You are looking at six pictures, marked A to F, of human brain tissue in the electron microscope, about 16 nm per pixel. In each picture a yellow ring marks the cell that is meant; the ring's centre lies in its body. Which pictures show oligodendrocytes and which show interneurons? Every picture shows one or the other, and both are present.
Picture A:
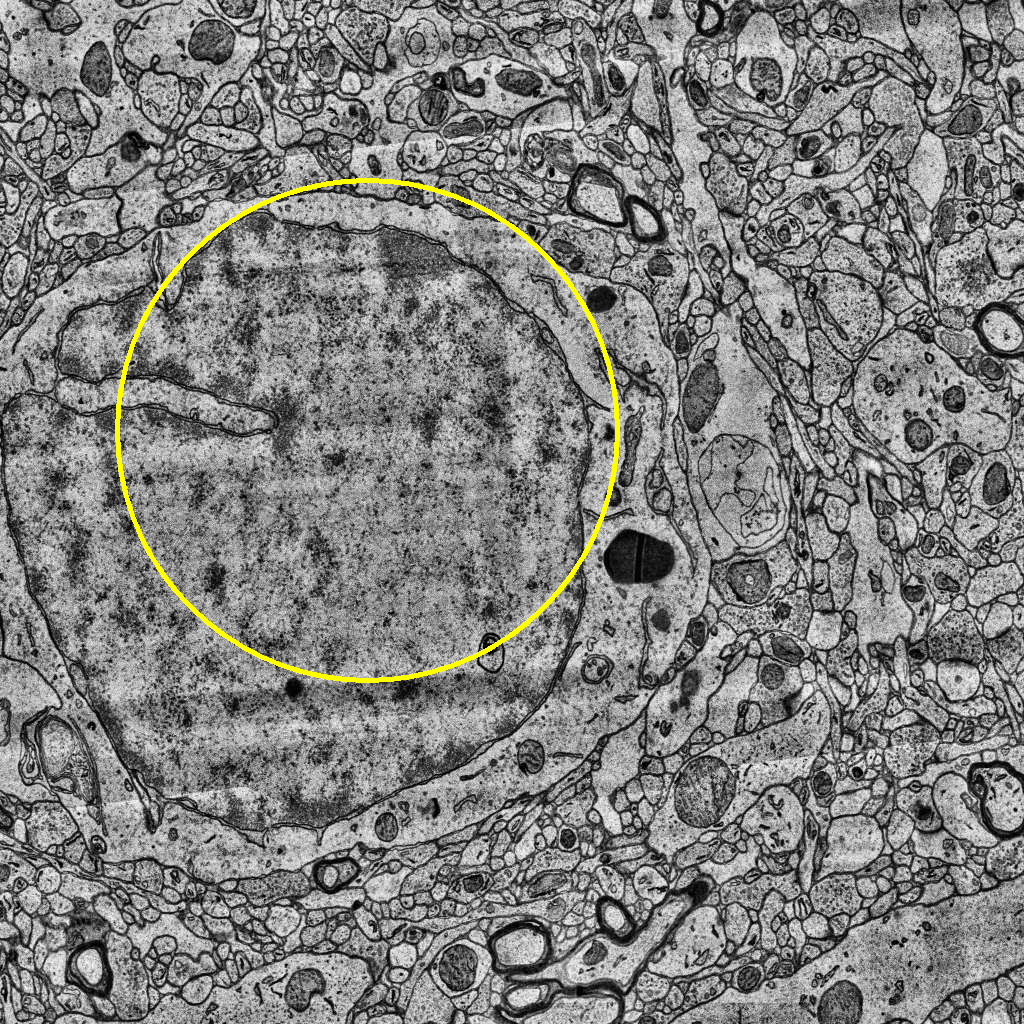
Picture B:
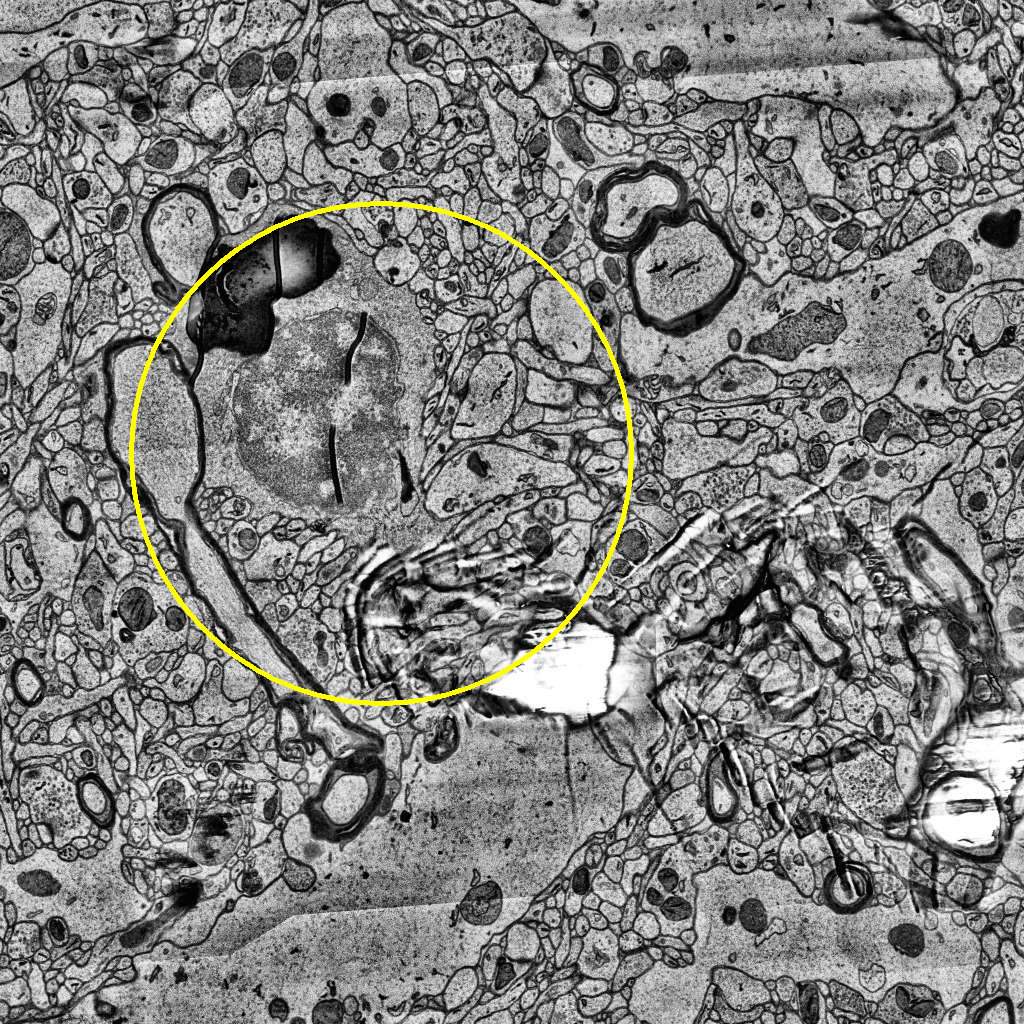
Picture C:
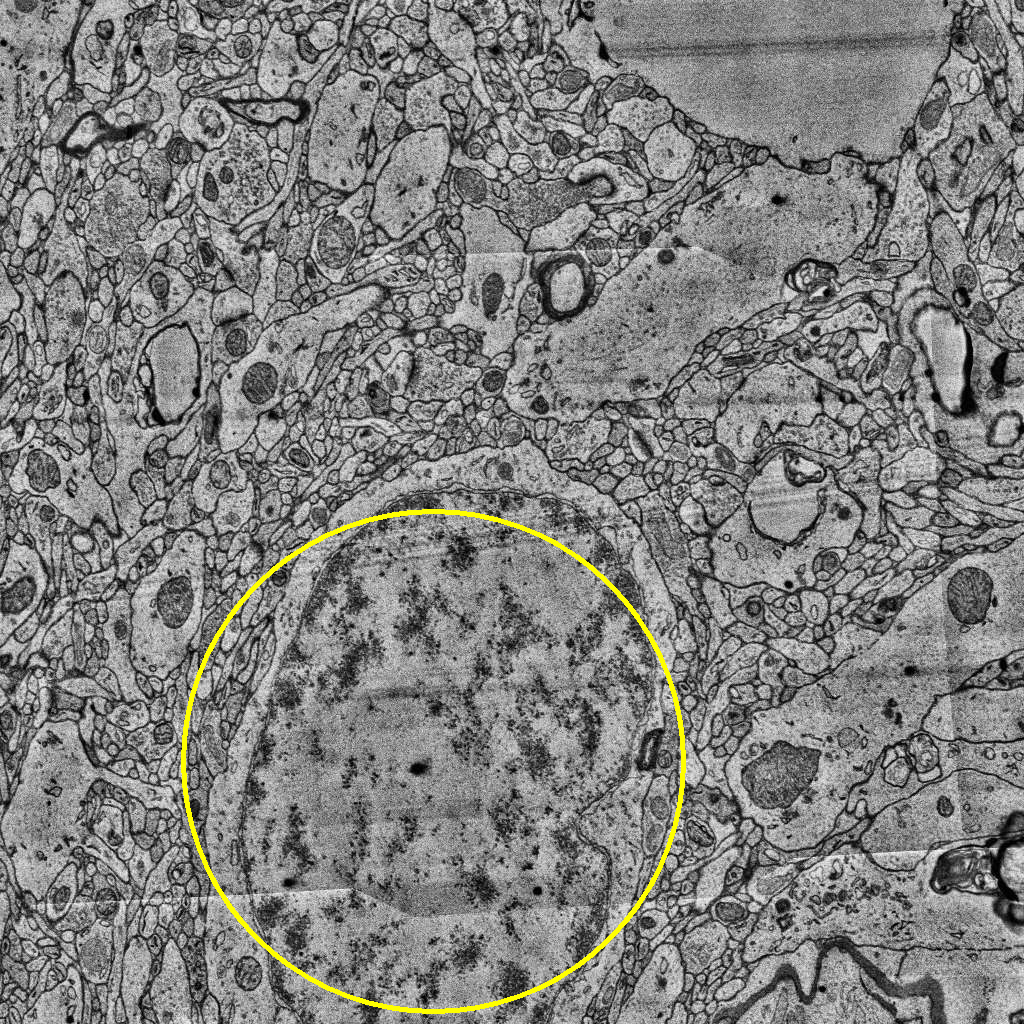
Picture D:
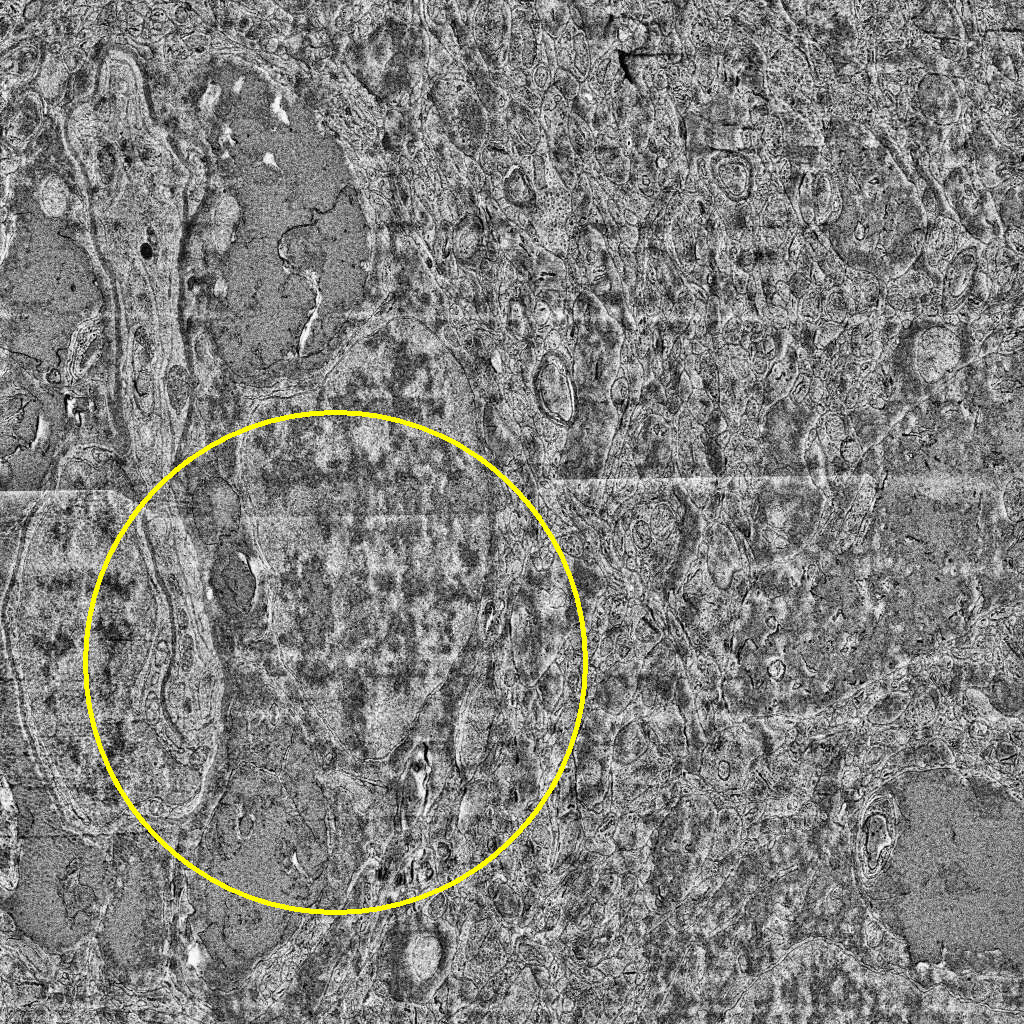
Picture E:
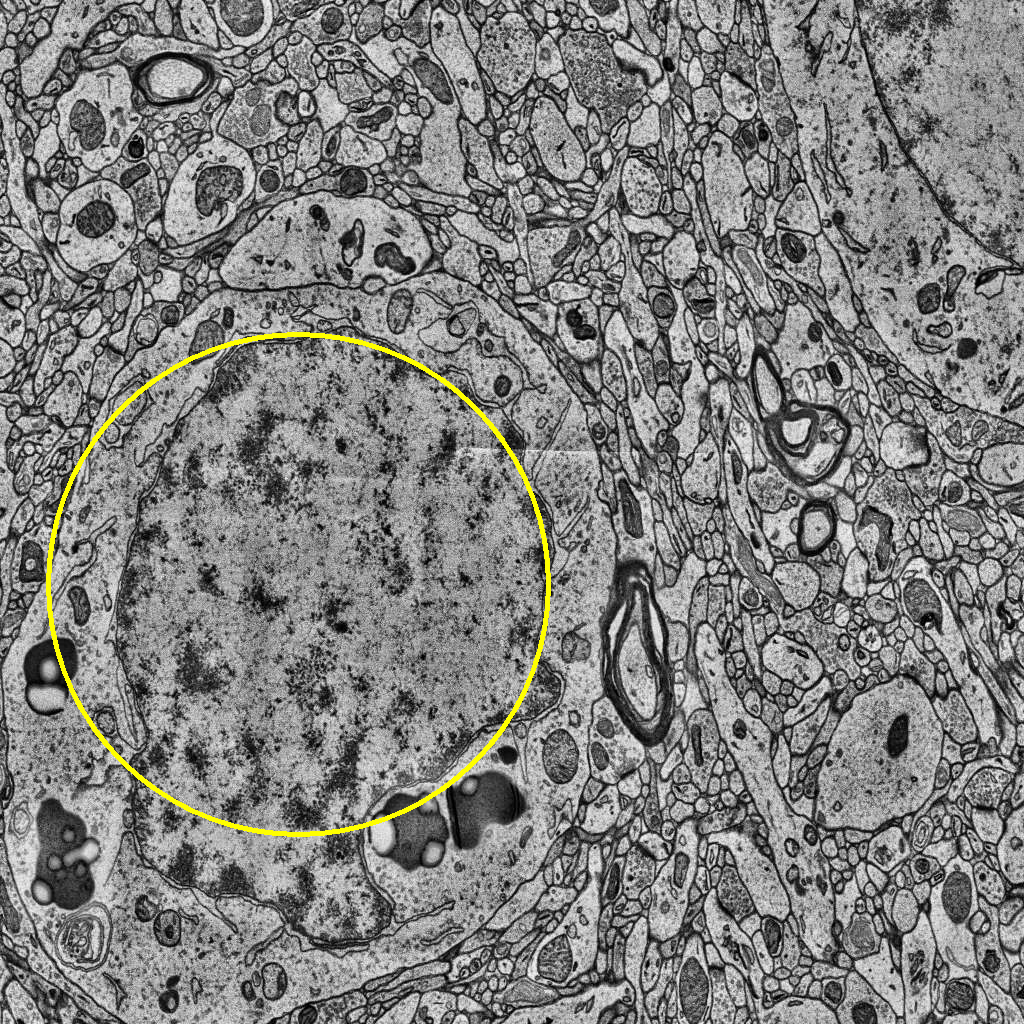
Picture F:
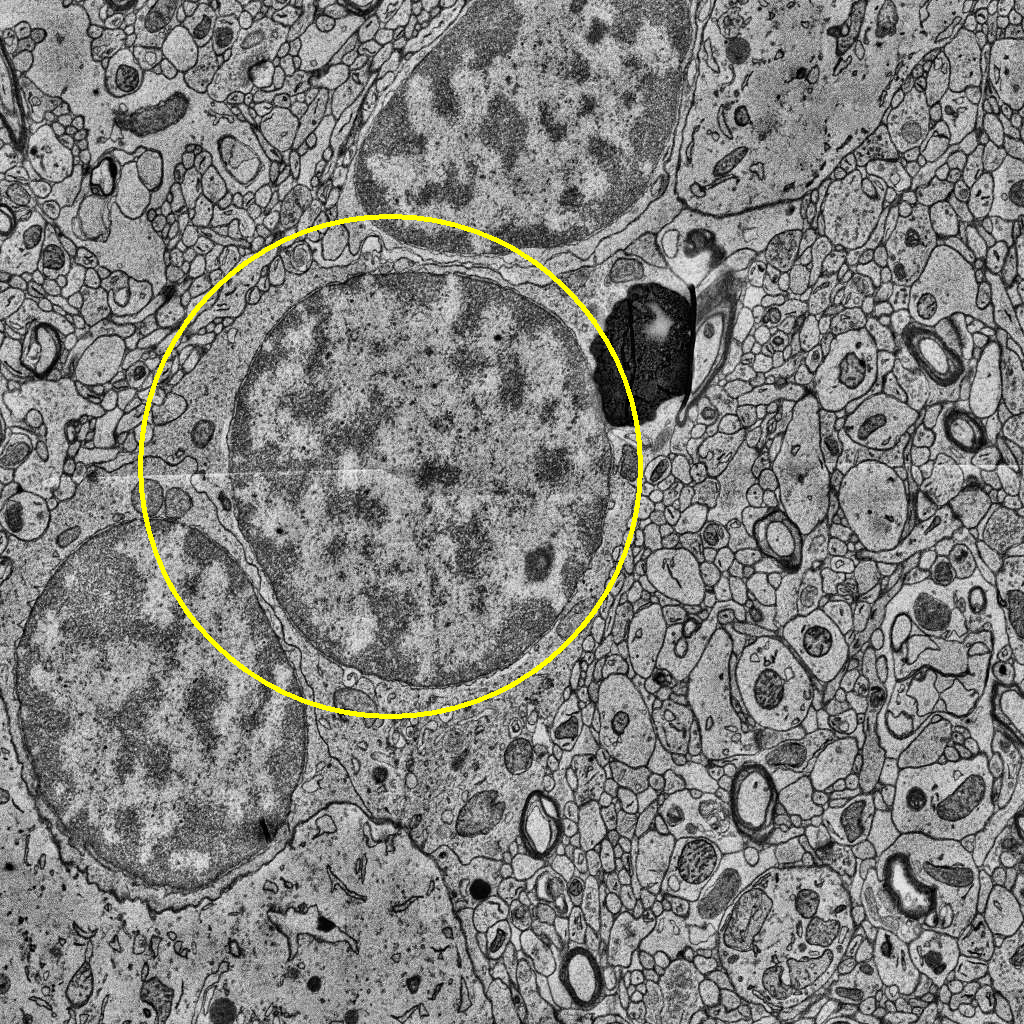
Pictures B, D and F show oligodendrocytes, and pictures A, C and E show interneurons.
